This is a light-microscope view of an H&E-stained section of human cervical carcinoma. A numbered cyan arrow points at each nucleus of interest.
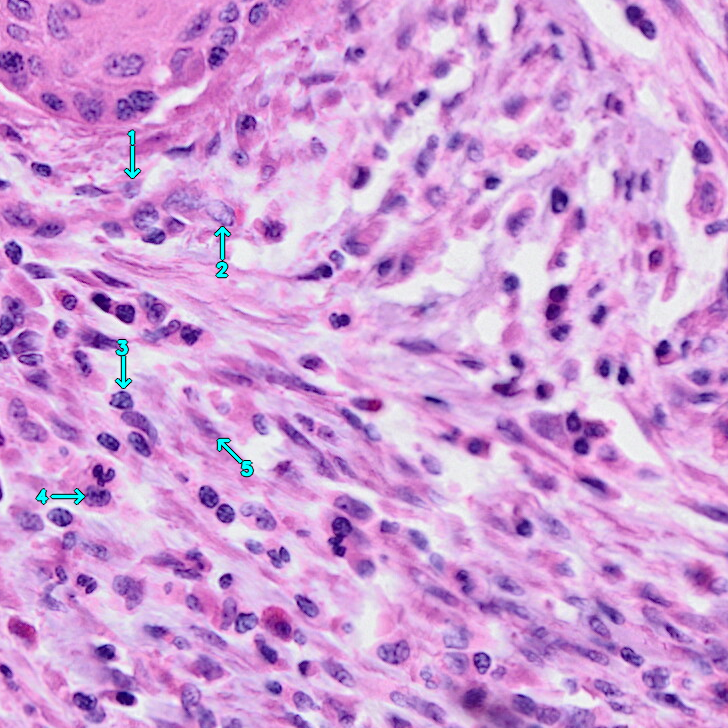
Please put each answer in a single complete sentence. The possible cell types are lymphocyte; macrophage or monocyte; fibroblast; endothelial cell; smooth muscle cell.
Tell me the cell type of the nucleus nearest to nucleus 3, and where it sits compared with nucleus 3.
The nearest nucleus is that of a macrophage or monocyte and lies below and to the right of nucleus 3.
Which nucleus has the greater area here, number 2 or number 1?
Nucleus 2 covers more area, about 1.5 times as much as nucleus 1.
